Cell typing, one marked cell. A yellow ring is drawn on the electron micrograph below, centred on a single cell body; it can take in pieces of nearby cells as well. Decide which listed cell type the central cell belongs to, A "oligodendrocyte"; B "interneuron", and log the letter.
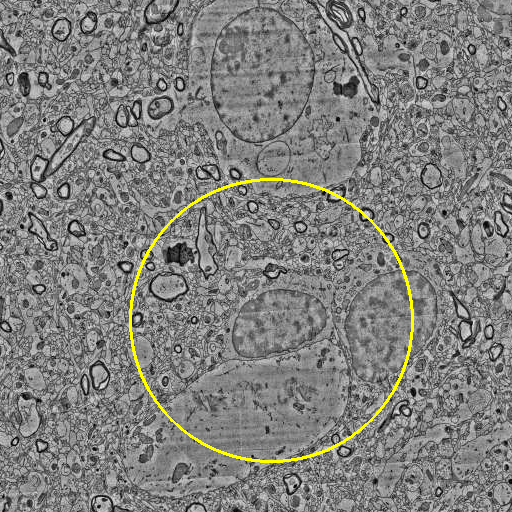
A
